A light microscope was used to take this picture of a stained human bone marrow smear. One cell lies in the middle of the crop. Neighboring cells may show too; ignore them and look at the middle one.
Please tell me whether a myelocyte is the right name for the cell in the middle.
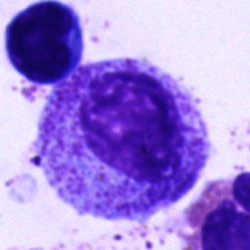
no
